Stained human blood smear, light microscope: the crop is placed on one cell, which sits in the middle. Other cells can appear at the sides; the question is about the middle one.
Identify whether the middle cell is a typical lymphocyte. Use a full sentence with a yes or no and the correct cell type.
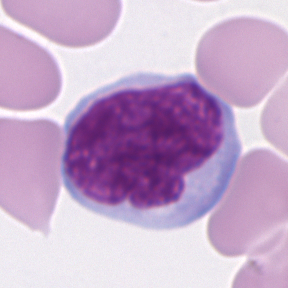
Yes, placed in the middle of the crop is a typical lymphocyte.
